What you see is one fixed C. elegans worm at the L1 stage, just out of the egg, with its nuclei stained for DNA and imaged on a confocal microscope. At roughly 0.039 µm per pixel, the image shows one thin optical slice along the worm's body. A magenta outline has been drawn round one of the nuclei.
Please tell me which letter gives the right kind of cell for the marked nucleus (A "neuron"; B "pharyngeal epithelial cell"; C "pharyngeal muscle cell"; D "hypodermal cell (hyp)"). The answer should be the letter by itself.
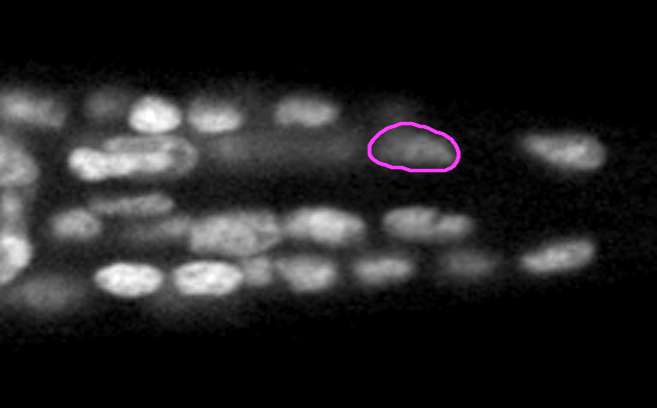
B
